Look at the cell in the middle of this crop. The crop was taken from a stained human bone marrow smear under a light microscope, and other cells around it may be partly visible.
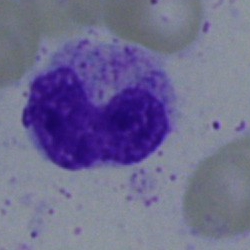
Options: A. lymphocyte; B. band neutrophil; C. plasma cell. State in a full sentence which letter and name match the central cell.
Of the options given, B is correct, the central cell being a band neutrophil.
